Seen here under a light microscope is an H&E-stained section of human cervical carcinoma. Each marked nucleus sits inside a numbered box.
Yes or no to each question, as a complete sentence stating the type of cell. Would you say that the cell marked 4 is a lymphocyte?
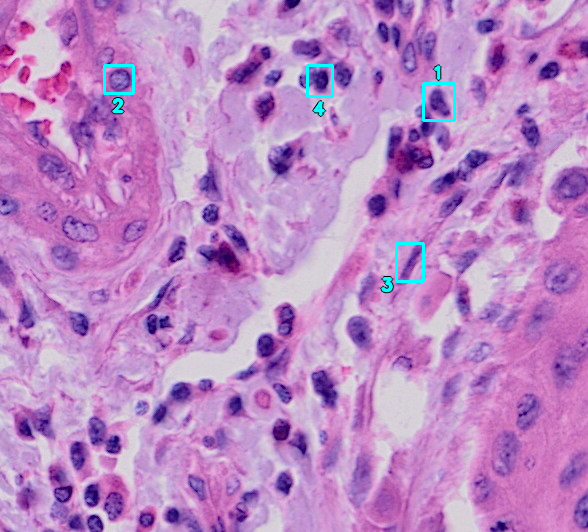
Yes, the cell that is numbered 4 is a lymphocyte.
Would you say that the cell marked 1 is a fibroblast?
No, the cell carrying number 1 is a lymphocyte rather than a fibroblast.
